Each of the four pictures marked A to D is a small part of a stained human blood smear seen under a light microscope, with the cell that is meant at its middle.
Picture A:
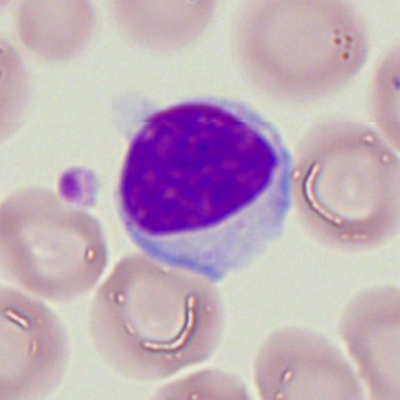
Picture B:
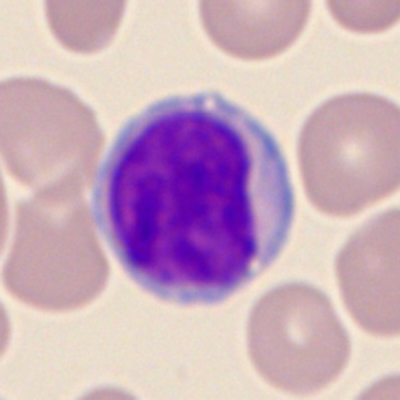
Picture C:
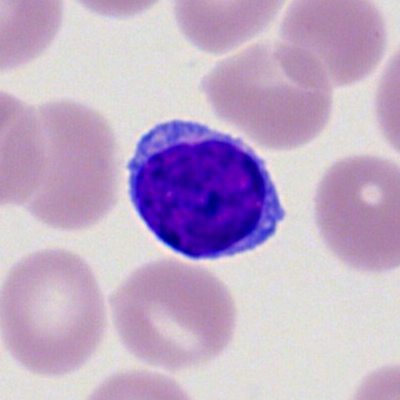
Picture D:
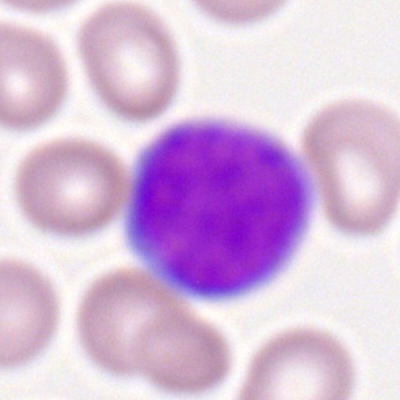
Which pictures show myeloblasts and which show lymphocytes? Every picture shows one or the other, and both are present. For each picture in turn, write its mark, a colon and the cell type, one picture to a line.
A: lymphocyte
B: lymphocyte
C: lymphocyte
D: myeloblast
